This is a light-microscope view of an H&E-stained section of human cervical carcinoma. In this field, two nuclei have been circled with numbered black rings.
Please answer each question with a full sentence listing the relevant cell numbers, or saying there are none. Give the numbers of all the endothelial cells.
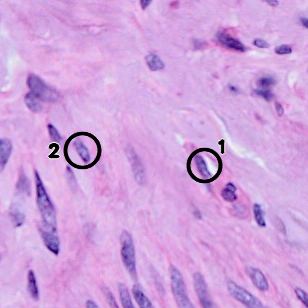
Across all the numbered cells, only number 1 is an endothelial cell.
